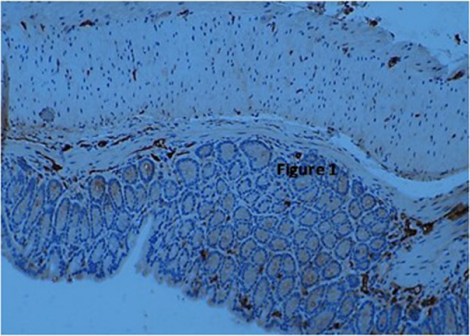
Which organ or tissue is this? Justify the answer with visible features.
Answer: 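A mucosa of closely packed straight tubular glands without villi. A thick layer of smooth muscle with elongated nuclei lies over the mucosa.
Conclusion: colon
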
